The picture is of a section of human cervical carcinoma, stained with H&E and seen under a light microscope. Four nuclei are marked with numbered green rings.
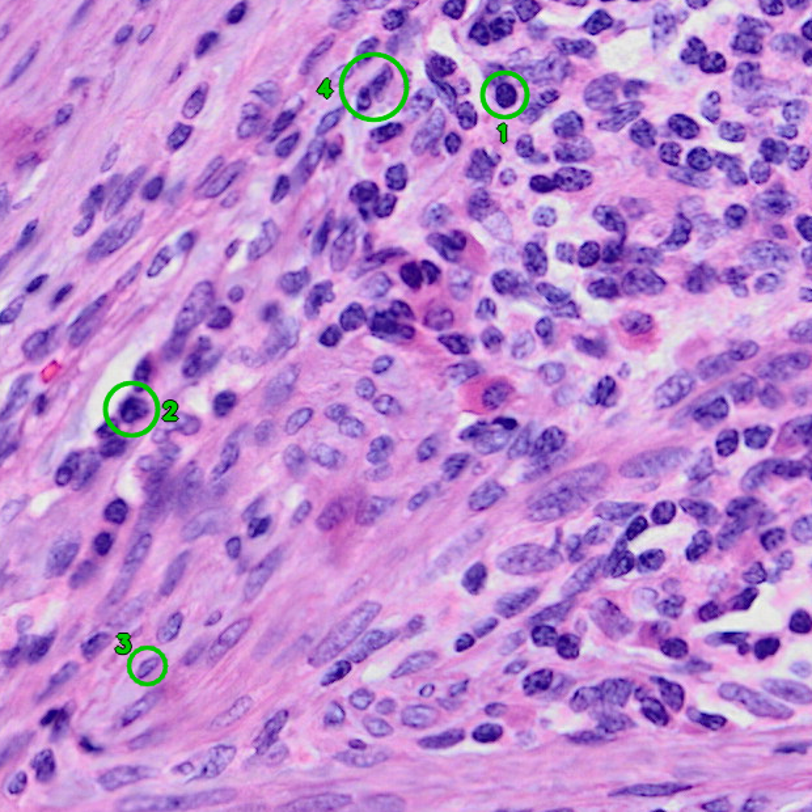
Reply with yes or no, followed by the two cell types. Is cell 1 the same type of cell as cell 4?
Yes, it is true that cells 1 and 4 are both lymphocytes.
